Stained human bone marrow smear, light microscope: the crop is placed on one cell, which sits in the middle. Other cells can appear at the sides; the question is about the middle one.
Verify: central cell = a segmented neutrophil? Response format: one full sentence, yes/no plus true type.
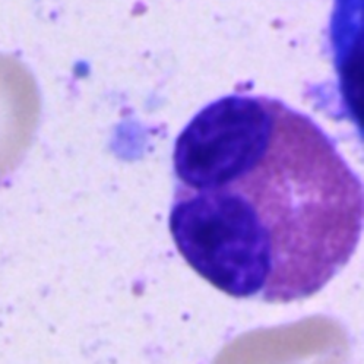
No, the central cell is classed as an eosinophil and not as a segmented neutrophil.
